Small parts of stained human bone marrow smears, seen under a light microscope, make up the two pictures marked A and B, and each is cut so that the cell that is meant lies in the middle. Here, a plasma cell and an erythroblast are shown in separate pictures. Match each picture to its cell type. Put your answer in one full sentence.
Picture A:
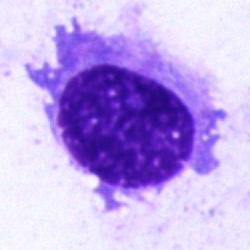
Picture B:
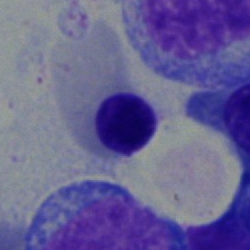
Picture A is of a plasma cell, and picture B is of an erythroblast.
